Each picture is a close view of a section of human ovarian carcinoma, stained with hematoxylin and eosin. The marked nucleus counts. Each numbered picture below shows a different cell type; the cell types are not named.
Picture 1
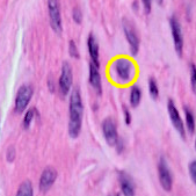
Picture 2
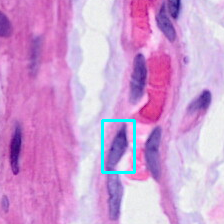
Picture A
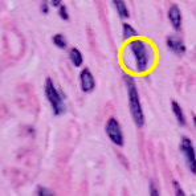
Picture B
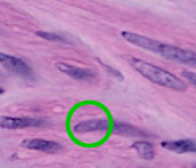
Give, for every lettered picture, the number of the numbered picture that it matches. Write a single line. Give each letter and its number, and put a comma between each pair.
A 1, B 1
